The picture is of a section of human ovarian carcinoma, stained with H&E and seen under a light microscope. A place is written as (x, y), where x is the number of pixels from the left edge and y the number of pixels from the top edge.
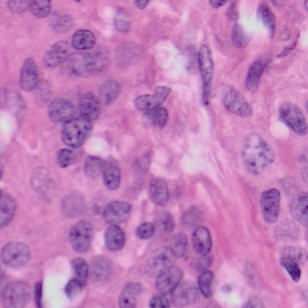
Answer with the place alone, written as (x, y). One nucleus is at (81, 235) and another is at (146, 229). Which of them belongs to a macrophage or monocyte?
(146, 229)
